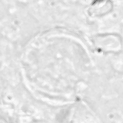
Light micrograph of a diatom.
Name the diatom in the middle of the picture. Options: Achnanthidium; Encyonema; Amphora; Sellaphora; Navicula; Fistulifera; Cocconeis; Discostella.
Discostella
